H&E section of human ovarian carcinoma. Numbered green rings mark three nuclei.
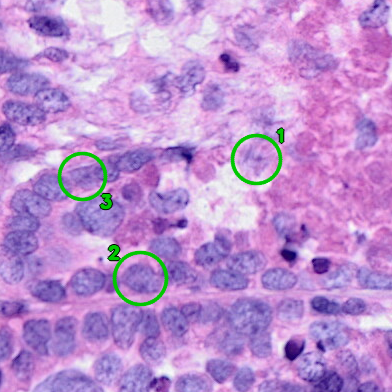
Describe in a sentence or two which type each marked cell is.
Cell 1 is a fibroblast. Cells 2 and 3 are carcinoma cells.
